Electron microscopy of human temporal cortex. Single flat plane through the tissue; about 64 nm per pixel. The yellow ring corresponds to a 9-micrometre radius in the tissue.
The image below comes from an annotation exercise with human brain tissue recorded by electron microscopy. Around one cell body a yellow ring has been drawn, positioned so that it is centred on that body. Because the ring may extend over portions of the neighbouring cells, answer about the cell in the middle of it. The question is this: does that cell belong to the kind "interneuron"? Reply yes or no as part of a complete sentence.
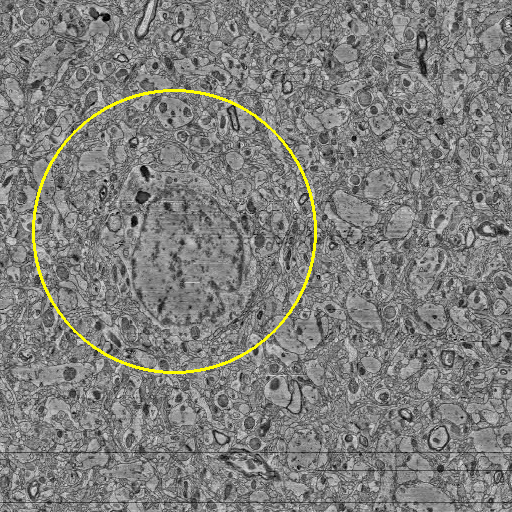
Yes, in the image the cell in the middle of the ring is of the kind asked about.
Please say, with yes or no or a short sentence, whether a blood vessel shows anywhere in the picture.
No, there is none.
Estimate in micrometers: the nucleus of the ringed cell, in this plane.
The nucleus works out at approximately 9 by 7 micrometres in this plane.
